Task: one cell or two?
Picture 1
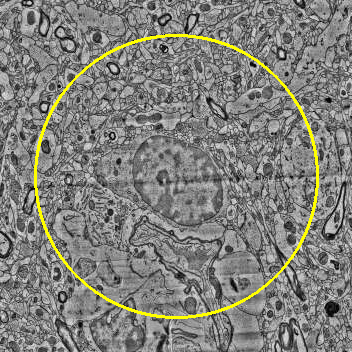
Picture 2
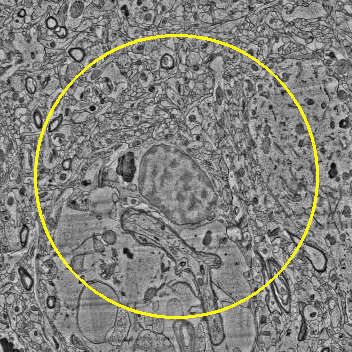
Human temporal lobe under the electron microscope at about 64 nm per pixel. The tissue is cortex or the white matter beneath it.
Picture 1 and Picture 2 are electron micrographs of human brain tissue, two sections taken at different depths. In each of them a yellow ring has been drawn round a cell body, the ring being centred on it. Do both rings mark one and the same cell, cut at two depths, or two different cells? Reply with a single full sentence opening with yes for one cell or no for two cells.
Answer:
Yes, both circles in yellow pick out the same cell.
